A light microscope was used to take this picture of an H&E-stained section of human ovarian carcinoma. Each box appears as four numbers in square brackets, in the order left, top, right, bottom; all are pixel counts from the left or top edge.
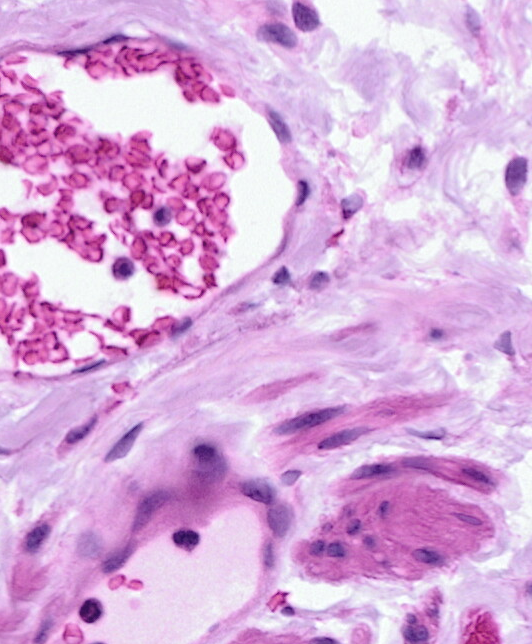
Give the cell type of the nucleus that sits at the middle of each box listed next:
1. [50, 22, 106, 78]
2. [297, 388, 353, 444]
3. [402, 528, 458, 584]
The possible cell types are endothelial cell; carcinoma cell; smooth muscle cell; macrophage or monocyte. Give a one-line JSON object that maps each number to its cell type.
{"1": "endothelial cell", "2": "smooth muscle cell", "3": "smooth muscle cell"}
